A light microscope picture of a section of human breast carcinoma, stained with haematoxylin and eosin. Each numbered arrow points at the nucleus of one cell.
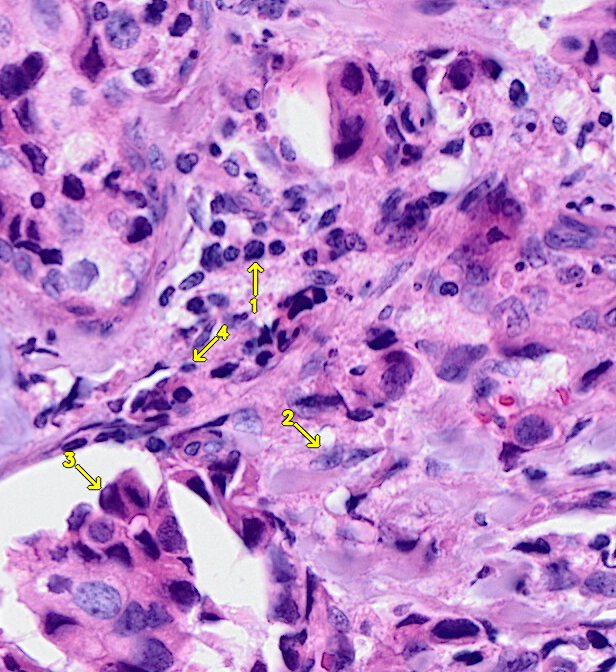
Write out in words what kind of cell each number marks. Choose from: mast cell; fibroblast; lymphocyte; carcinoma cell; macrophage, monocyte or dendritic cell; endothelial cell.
Cells 1 and 4 are lymphocytes. Cell 2 is a fibroblast. Cell 3 is a carcinoma cell.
